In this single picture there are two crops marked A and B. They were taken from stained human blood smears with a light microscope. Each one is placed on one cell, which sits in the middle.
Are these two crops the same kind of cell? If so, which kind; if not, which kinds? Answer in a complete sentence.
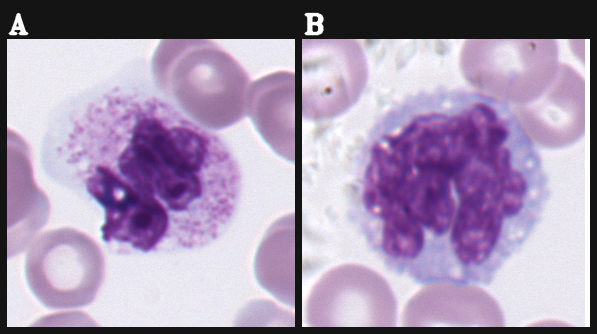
No, the cell shown in crop A is a segmented neutrophil, and the cell shown in crop B is a monocyte.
